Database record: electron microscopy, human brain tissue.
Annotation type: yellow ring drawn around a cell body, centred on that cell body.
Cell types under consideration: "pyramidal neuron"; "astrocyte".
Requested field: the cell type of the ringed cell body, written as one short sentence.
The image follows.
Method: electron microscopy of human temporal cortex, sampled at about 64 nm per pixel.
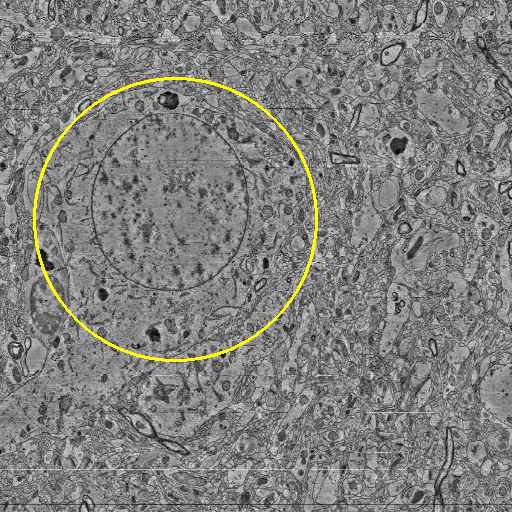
The ringed cell body represents a pyramidal neuron.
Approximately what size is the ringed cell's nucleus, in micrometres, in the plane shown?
Roughly 12 by 10 micrometres is the size of the nucleus in this plane.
